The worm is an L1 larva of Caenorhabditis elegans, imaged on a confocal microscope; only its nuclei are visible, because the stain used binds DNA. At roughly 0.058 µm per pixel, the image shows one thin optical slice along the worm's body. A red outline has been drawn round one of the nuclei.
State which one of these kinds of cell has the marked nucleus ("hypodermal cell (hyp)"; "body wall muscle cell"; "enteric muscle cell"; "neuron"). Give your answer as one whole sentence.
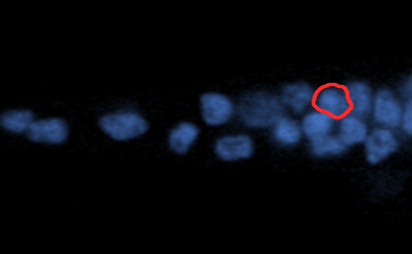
It belongs to a neuron.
